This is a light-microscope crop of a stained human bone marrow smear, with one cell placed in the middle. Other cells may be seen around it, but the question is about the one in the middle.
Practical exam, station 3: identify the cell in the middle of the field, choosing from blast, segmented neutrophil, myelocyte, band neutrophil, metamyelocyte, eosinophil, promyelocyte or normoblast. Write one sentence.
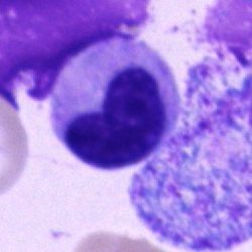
The centrally located cell in the crop is a metamyelocyte.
